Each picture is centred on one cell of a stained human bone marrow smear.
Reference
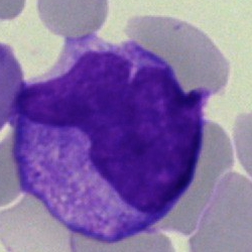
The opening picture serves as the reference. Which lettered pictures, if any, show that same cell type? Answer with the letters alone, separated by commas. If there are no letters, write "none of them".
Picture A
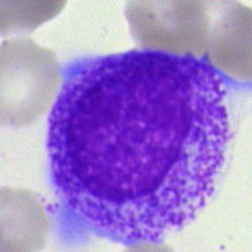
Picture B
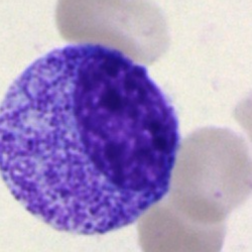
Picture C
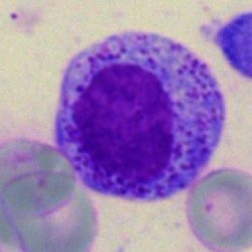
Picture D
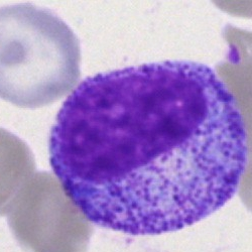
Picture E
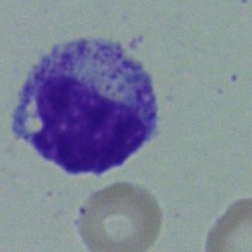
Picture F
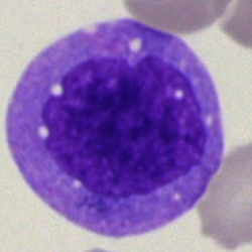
F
